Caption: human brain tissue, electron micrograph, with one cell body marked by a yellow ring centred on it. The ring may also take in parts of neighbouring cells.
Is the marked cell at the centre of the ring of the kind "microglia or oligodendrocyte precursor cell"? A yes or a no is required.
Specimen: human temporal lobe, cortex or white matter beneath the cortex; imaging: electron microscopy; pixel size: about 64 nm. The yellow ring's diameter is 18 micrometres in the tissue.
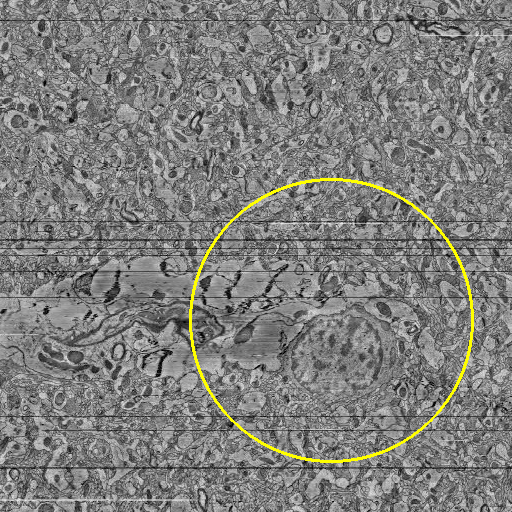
no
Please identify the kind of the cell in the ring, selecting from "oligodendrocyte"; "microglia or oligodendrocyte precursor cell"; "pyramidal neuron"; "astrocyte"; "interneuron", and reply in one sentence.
Instead, the cell at the centre of the yellow ring is an oligodendrocyte.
